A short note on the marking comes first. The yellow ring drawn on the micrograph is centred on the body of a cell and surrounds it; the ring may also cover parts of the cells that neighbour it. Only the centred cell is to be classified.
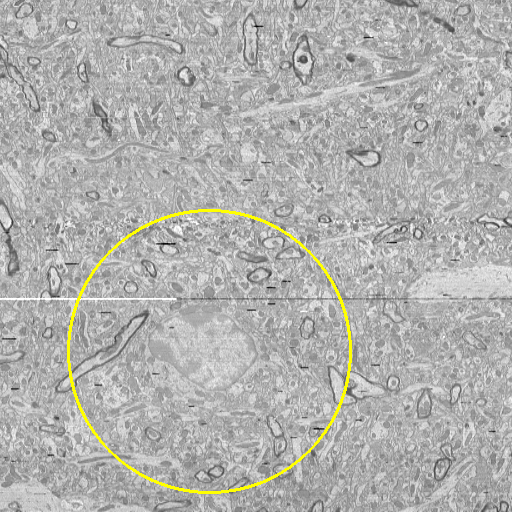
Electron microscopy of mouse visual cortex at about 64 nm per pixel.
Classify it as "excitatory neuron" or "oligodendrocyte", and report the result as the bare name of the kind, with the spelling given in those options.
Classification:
oligodendrocyte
